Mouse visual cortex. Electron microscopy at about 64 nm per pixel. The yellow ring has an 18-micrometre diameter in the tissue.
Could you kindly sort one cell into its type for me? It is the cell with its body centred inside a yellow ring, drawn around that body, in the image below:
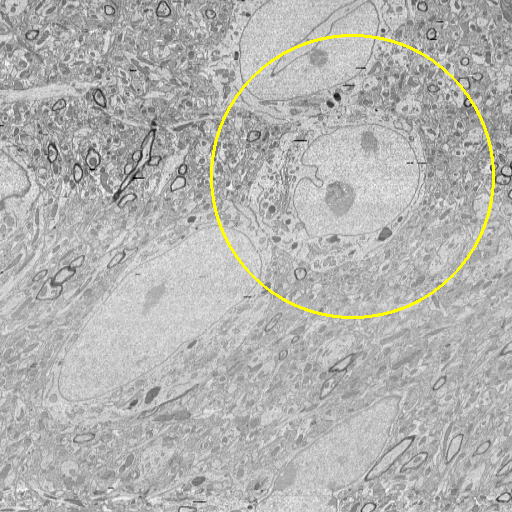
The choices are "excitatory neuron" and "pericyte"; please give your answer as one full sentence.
The cell whose body lies centred in the yellow ring here is an excitatory neuron.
